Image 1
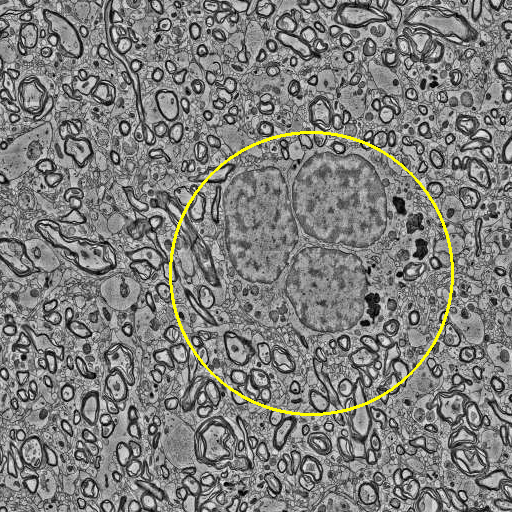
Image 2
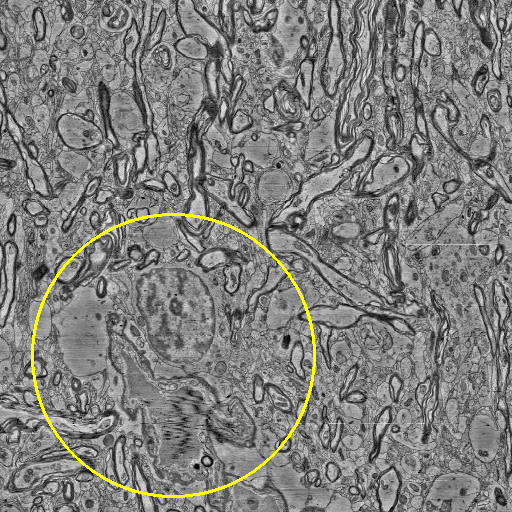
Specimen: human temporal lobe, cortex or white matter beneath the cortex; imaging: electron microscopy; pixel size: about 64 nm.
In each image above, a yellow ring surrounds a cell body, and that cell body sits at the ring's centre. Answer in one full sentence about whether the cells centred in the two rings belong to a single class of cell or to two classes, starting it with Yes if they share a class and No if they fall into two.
Yes, the cells centred in the two yellow rings belong to a single class of cell.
